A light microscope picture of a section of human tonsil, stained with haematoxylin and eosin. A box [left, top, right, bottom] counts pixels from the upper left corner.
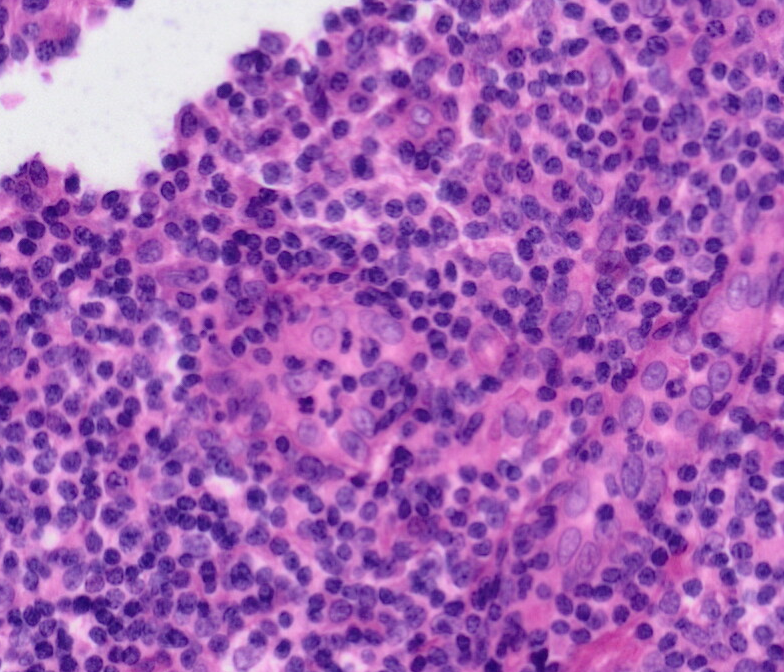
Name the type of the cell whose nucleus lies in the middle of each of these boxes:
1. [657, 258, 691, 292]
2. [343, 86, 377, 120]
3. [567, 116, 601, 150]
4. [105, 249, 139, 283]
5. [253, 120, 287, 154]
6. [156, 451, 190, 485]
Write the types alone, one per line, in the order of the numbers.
small lymphocyte
plasma cell
small lymphocyte
small lymphocyte
plasma cell
small lymphocyte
